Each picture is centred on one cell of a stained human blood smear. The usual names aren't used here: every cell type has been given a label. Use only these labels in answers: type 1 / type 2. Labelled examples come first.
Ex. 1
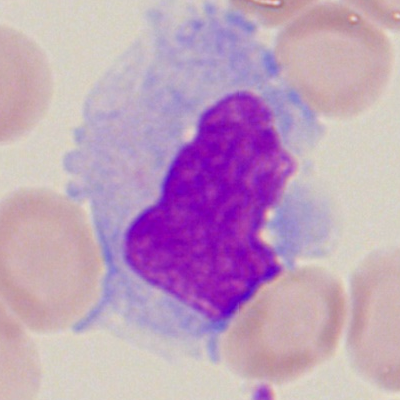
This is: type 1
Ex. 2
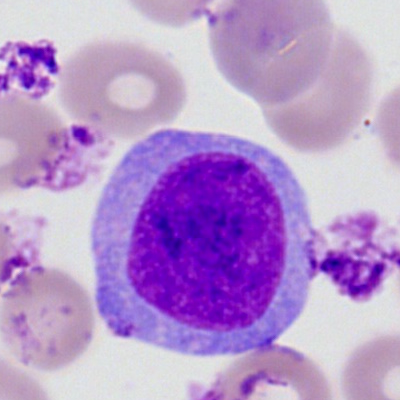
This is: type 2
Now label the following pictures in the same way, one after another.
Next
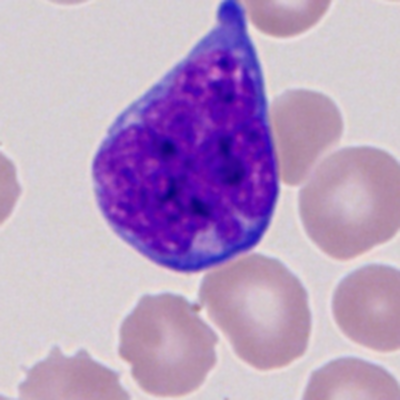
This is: type 2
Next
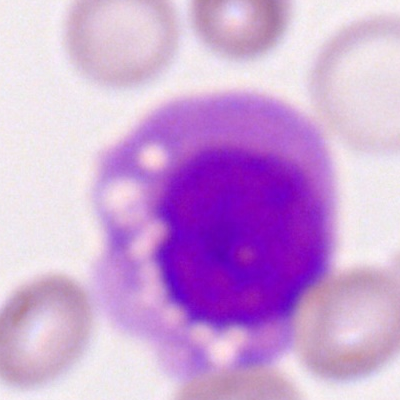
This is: type 1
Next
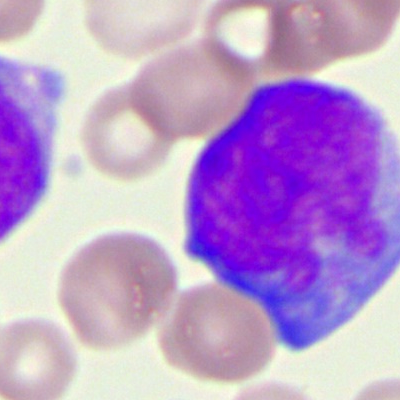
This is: type 2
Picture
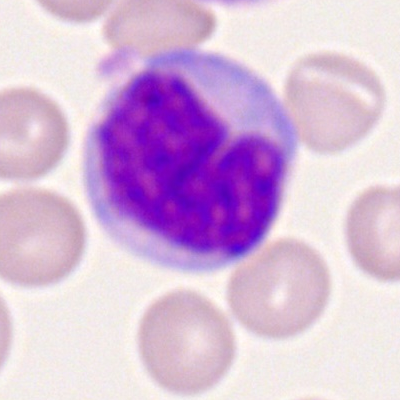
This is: type 1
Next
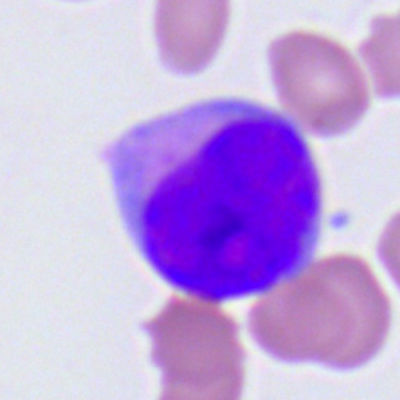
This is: type 2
